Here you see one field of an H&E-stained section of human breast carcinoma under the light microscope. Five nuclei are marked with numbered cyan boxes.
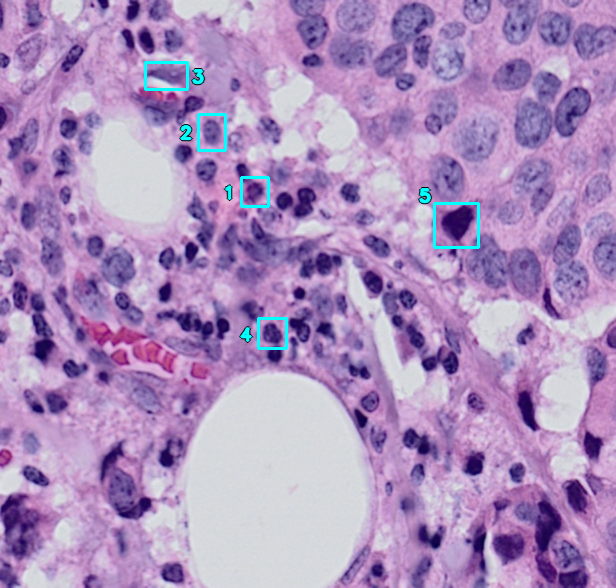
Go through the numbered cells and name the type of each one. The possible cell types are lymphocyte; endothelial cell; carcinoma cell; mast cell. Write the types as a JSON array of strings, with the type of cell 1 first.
["lymphocyte", "mast cell", "endothelial cell", "lymphocyte", "carcinoma cell"]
